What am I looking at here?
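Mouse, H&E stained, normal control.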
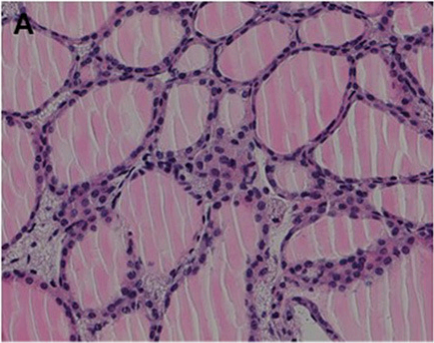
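Thyroid tissue made of closely packed round to oval follicles, each bounded by a single layer of cuboidal epithelial cells with round, dark purple nuclei and a modest rim of cytoplasm. The lumens hold homogeneous pink colloid, crossed by fine parallel streaks from sectioning. Narrow pale interstitial septa with a few small vessels separate the follicles.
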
